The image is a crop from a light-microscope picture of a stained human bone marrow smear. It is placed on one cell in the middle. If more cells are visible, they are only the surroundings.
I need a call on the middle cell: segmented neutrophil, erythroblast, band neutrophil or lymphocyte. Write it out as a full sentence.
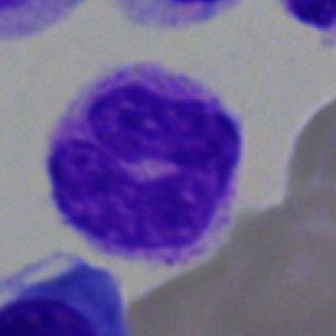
Regarding the central cell, it is a band neutrophil.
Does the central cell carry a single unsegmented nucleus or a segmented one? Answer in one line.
Worth pointing out that its nucleus is one compact mass, round, oval or reniform.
